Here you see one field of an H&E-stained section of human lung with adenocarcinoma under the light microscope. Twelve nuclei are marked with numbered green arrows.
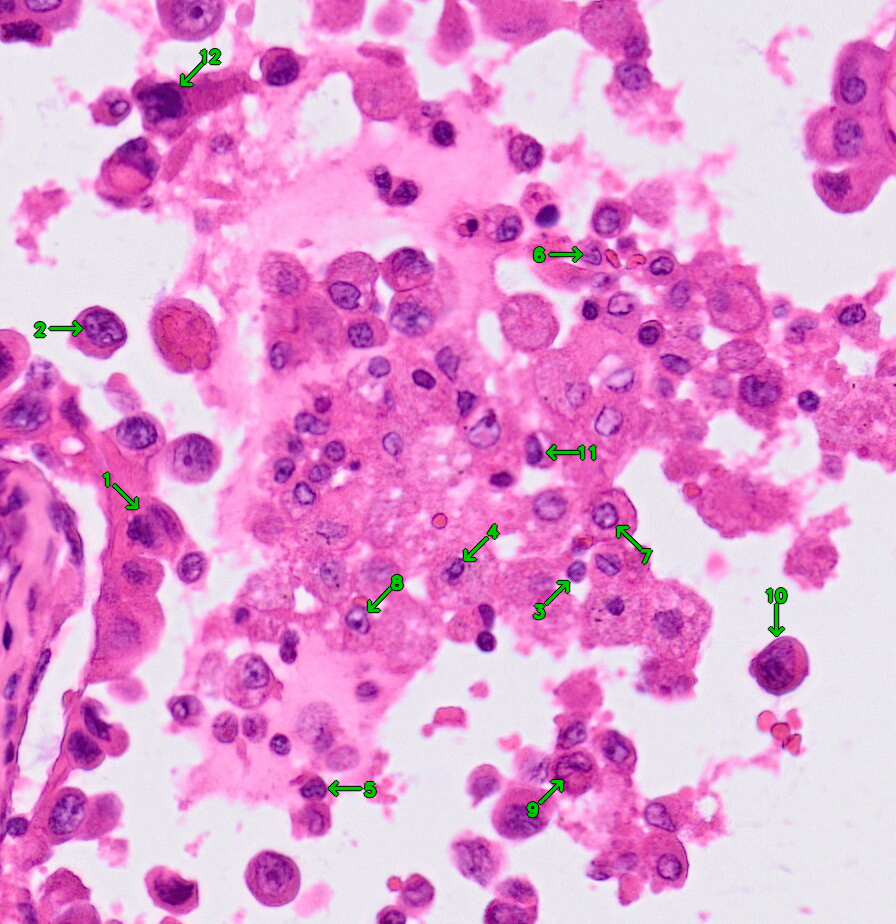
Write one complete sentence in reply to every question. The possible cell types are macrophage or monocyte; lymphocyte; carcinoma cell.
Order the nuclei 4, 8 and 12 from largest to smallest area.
The nuclei rank 12, 8, 4, from largest to smallest.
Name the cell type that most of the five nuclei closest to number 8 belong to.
Macrophages or monocytes make up most of the five nuclei closest to number 8.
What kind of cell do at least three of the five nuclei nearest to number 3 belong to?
Most of the five nuclei nearest to number 3 are those of macrophages or monocytes.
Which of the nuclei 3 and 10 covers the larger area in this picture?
Nucleus 10 is larger, with an area about 4 times that of nucleus 3.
